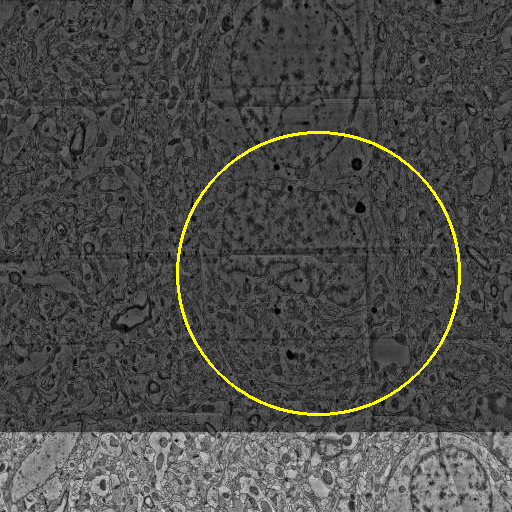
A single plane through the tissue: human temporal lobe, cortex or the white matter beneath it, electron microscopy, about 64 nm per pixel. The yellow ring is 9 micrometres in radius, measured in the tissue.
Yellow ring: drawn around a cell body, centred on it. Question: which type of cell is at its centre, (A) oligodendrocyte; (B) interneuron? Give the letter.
B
